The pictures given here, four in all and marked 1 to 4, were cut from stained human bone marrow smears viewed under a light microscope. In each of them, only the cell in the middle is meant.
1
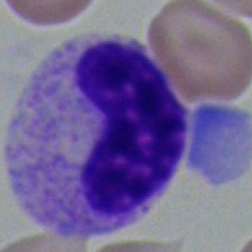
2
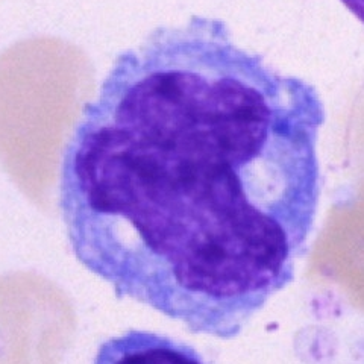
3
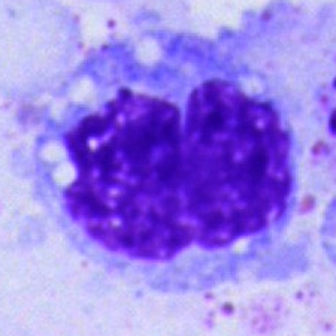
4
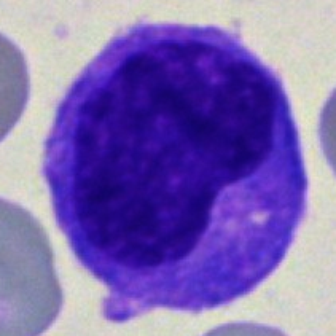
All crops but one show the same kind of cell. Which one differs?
1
